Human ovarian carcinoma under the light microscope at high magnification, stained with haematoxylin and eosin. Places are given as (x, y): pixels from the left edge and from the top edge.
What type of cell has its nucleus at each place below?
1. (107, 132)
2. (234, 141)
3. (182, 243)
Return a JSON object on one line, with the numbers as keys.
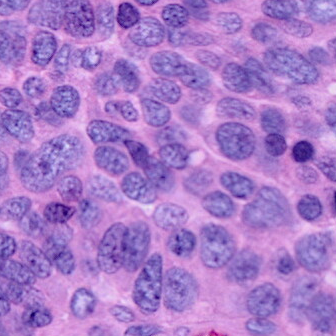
{"1": "carcinoma cell", "2": "carcinoma cell", "3": "macrophage or monocyte"}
